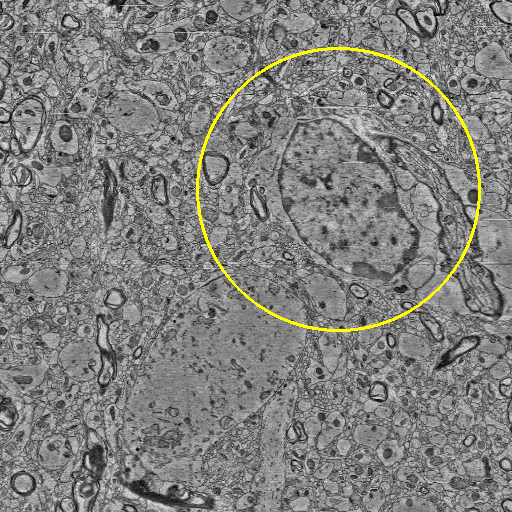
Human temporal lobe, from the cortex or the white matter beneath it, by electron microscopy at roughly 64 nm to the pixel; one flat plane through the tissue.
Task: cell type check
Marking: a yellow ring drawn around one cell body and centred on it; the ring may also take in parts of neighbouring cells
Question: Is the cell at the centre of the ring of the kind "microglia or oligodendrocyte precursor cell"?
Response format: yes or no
yes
